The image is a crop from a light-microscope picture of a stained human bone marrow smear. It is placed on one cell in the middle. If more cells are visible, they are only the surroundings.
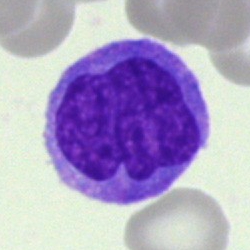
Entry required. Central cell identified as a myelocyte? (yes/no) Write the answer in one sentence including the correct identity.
No, the central cell isn't a myelocyte, but a monocyte.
